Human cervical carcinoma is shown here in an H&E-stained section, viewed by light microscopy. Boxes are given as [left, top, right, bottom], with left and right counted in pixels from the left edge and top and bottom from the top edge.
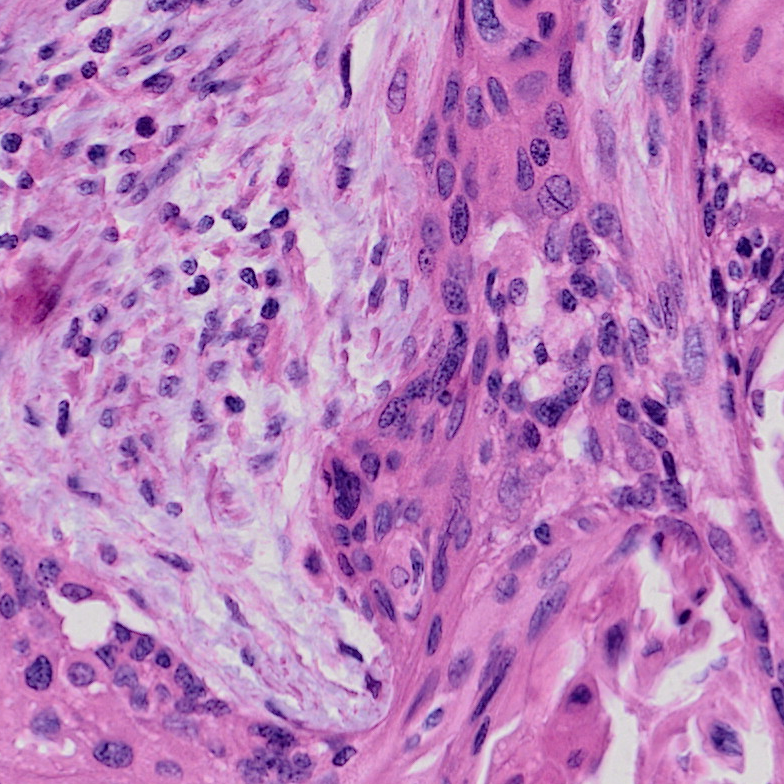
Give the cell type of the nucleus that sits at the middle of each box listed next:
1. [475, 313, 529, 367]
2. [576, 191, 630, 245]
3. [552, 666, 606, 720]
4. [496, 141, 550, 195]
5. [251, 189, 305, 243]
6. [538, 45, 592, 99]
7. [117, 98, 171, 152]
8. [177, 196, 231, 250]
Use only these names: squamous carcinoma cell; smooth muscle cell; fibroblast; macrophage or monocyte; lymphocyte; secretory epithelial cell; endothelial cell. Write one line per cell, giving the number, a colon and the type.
1: squamous carcinoma cell
2: squamous carcinoma cell
3: squamous carcinoma cell
4: squamous carcinoma cell
5: lymphocyte
6: squamous carcinoma cell
7: lymphocyte
8: lymphocyte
